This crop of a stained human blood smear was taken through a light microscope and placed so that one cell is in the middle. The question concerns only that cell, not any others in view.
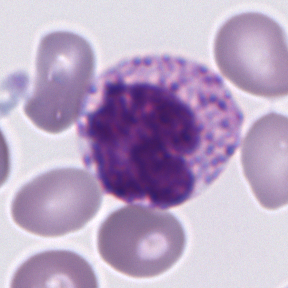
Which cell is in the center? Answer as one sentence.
For this crop, the cell in the middle is a basophil.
